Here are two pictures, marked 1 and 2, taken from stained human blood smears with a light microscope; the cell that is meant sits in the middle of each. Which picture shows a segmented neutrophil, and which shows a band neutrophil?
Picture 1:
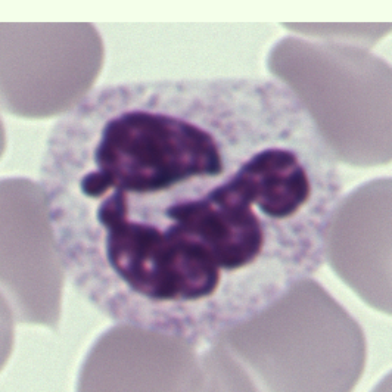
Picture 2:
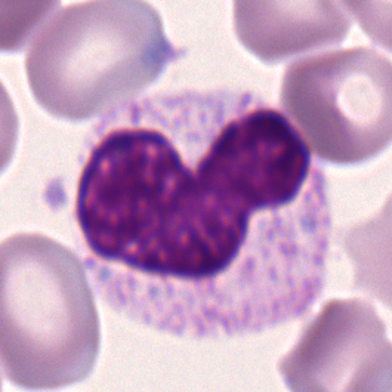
1: segmented neutrophil
2: band neutrophil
